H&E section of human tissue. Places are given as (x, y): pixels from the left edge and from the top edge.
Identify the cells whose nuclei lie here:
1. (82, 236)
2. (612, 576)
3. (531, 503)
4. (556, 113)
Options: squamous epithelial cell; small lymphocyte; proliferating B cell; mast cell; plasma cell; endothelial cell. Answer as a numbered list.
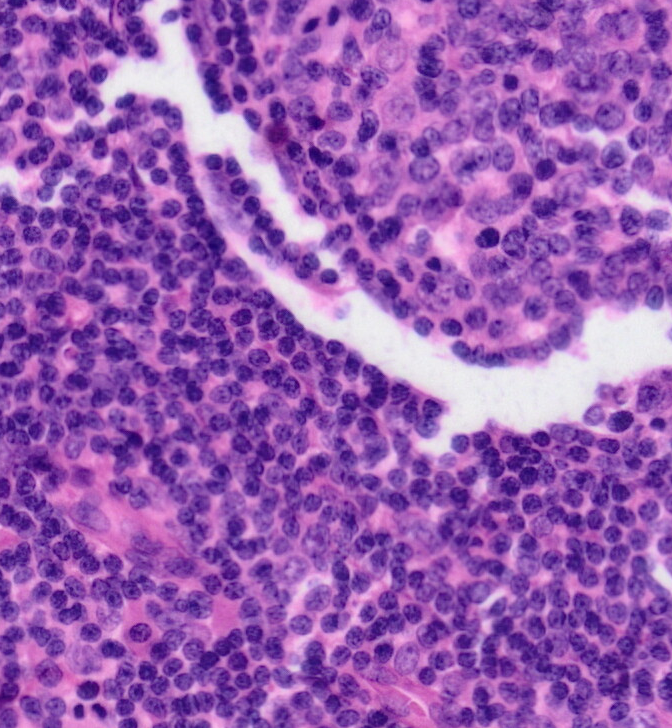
1. small lymphocyte
2. small lymphocyte
3. small lymphocyte
4. proliferating B cell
